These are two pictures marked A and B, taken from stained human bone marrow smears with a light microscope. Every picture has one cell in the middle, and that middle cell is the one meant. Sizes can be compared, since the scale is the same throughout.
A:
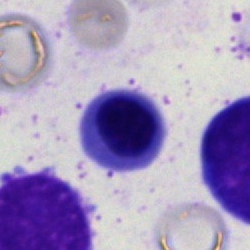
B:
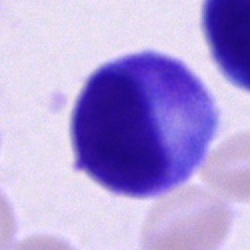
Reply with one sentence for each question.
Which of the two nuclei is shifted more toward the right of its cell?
Seen within its cell, the nucleus in crop A lies further toward the right.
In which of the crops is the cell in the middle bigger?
Crop B holds the larger cell; it covers about 3 times the area of the cell in crop A.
